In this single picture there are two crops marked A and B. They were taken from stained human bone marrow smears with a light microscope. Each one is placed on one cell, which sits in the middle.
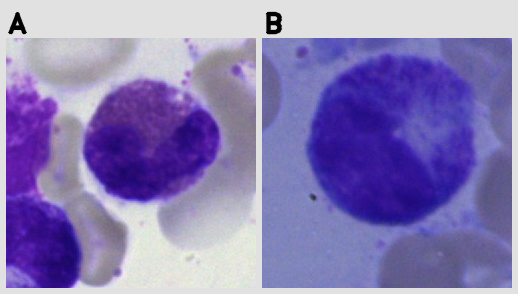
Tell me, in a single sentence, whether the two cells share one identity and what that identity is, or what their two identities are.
No, crop A and crop B show an eosinophil and a promyelocyte respectively.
